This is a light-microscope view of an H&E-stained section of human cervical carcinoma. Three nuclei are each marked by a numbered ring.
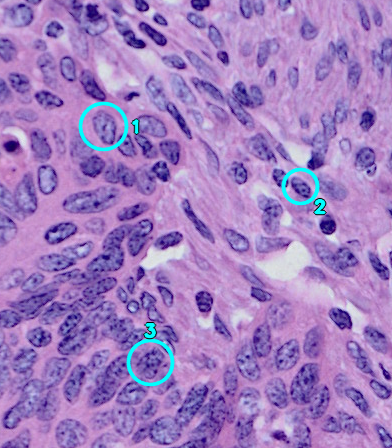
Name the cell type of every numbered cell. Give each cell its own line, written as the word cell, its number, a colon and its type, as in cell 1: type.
cell 1: squamous carcinoma cell
cell 2: lymphocyte
cell 3: squamous carcinoma cell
